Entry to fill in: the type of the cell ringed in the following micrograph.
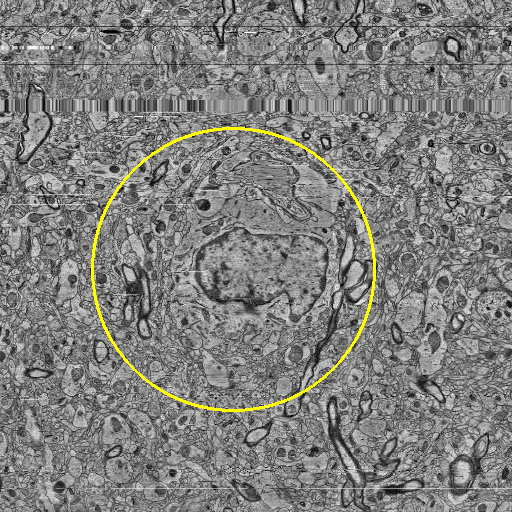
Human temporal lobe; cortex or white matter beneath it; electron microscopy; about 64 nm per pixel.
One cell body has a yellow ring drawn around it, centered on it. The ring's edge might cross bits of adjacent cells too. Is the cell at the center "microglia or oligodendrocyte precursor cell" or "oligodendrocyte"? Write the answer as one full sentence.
This entry names a microglial cell or oligodendrocyte precursor cell as the cell whose body lies at the ring's center.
